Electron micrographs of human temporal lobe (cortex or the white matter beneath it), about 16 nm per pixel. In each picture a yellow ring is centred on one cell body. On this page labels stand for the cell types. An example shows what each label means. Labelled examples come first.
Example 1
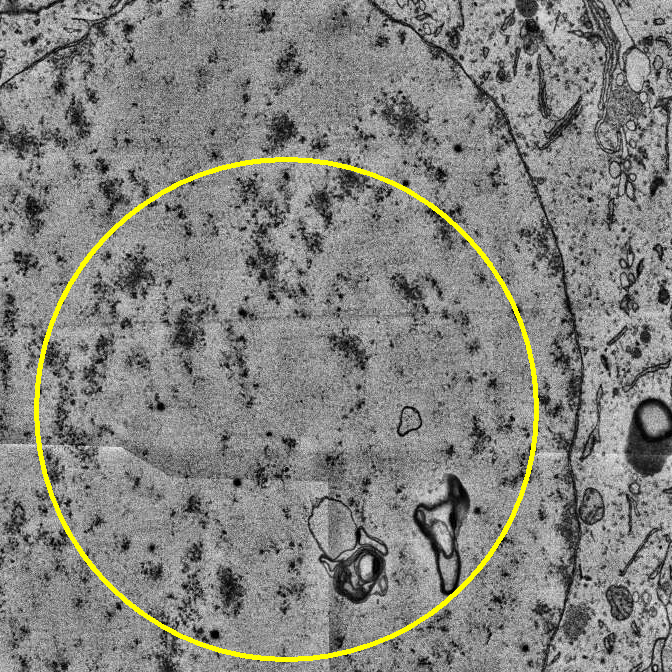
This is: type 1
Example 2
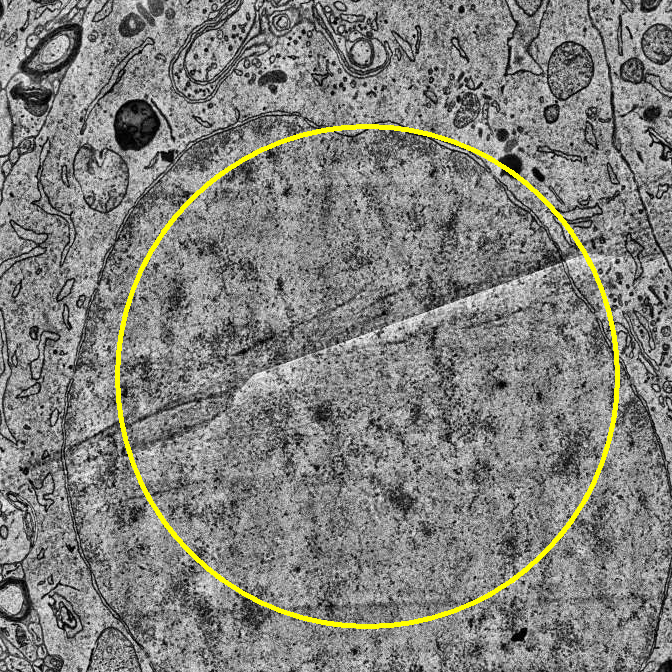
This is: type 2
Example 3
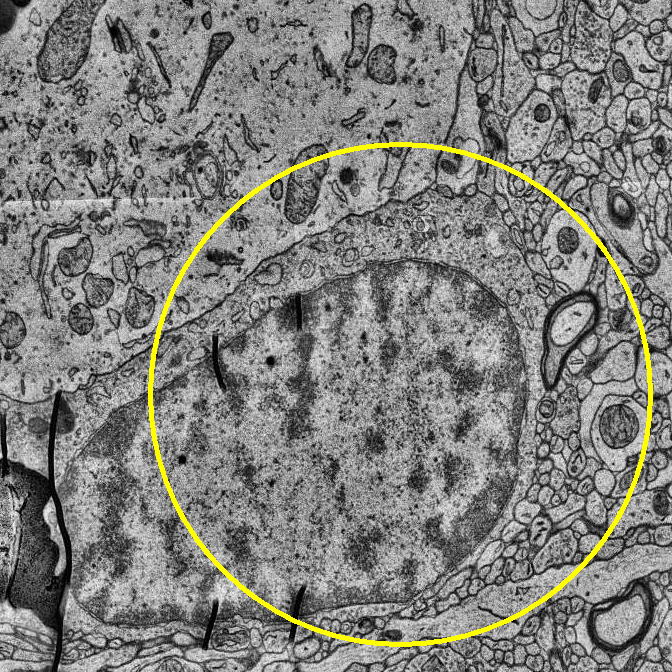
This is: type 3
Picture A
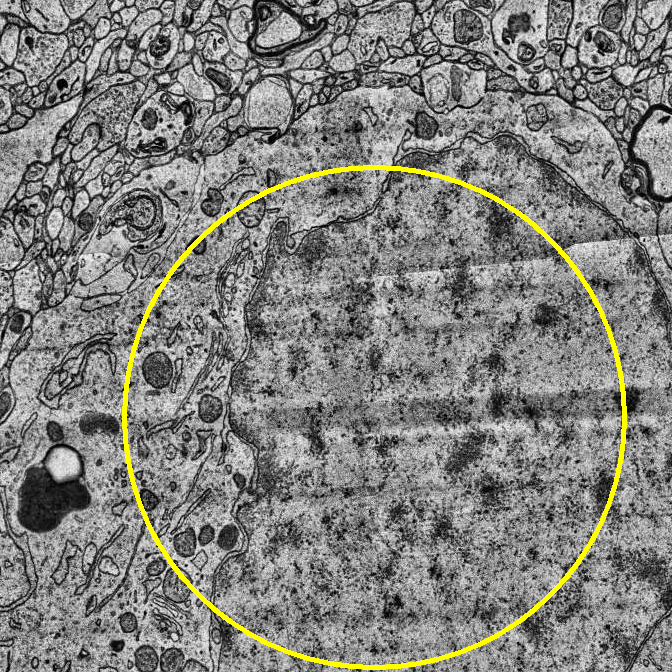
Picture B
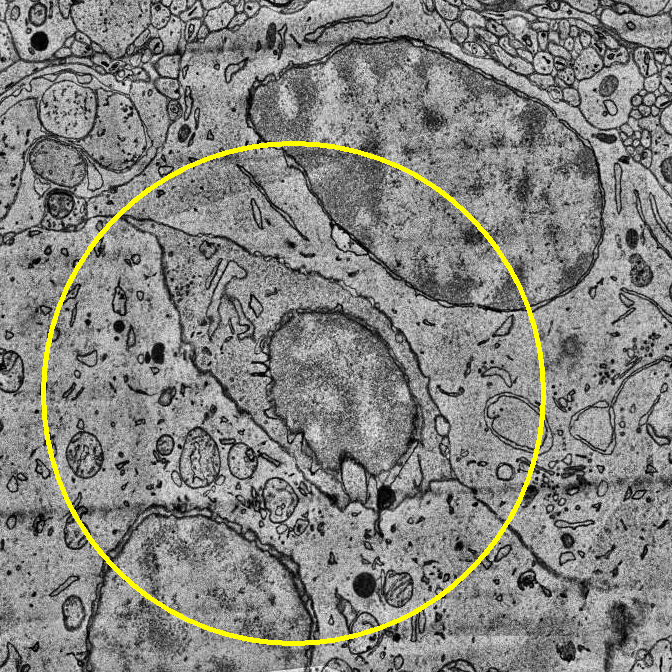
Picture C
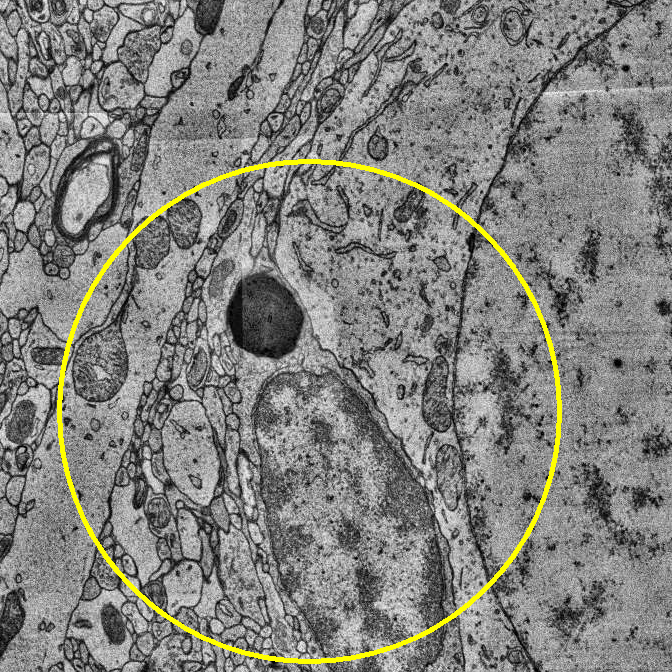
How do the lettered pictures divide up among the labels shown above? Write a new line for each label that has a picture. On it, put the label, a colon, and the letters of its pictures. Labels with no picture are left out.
type 2: A
type 3: B, C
